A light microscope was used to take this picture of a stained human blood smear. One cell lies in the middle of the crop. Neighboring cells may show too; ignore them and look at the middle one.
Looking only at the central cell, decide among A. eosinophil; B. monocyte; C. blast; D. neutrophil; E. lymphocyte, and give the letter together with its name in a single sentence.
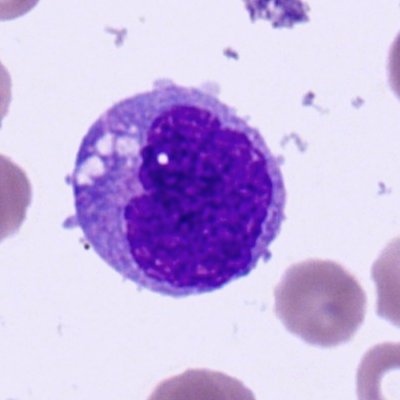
In the centre of the crop there is a monocyte, making option B correct.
